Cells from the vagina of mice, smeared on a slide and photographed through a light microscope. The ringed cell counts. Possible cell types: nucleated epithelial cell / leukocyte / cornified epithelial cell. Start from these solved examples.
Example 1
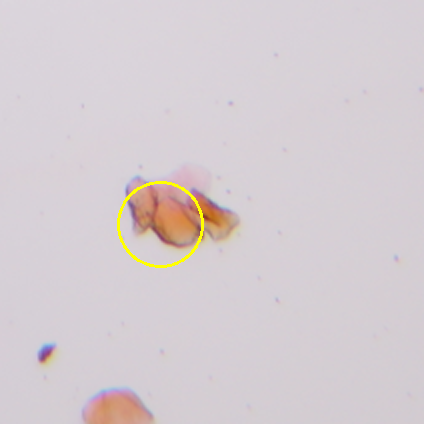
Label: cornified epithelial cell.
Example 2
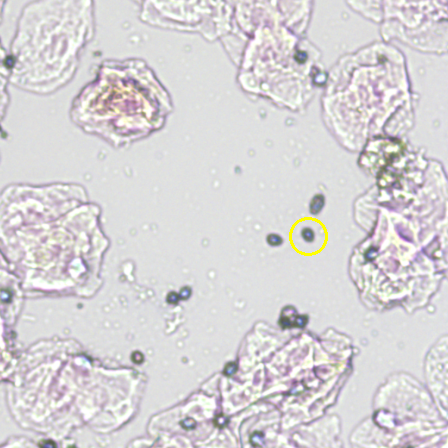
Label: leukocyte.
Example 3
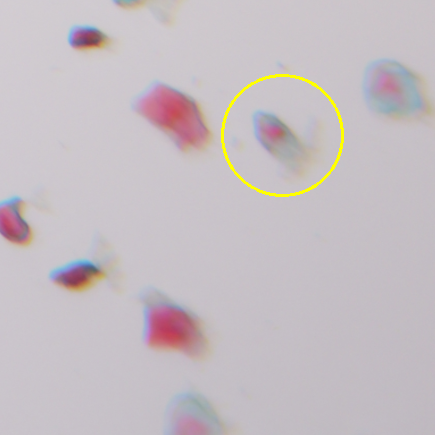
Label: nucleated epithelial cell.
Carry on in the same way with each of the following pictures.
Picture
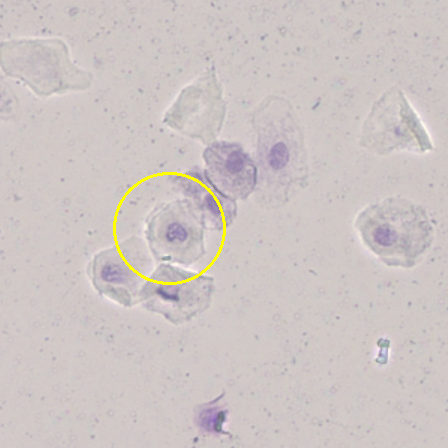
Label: nucleated epithelial cell.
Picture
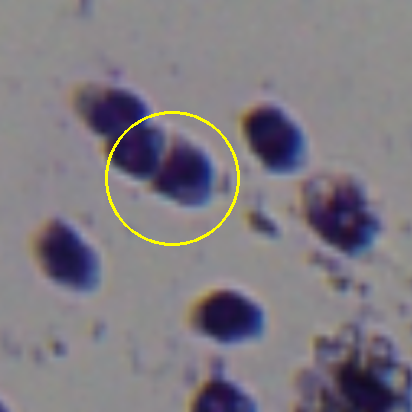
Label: leukocyte.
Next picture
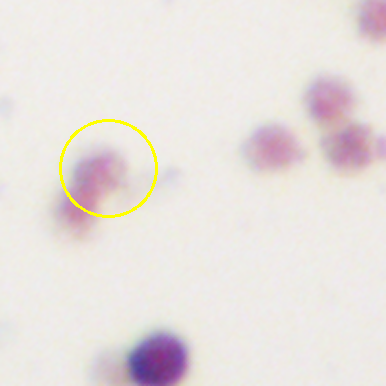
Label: leukocyte.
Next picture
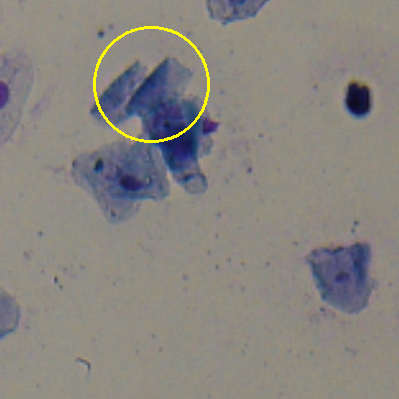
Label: cornified epithelial cell.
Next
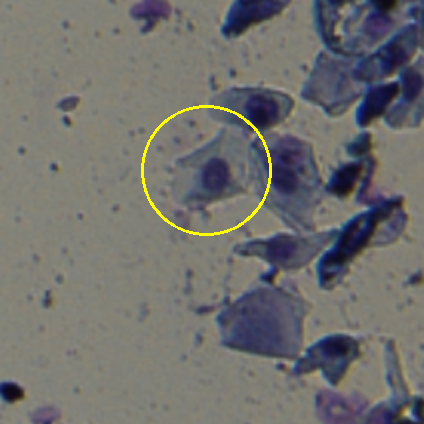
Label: nucleated epithelial cell.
